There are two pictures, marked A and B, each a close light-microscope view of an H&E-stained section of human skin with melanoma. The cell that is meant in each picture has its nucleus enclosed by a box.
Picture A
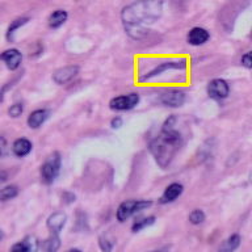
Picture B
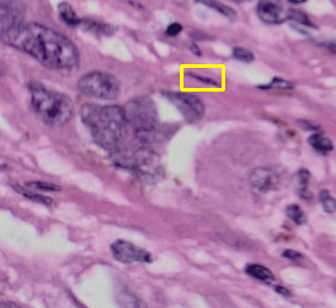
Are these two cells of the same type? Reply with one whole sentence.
Yes, both cells are “fibroblasts or myofibroblasts”.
